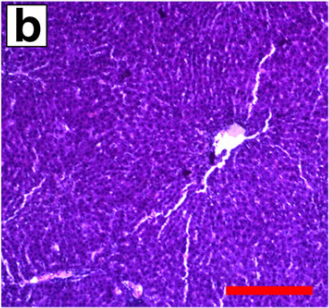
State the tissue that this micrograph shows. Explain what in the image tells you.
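Thin white clefts between the cords run toward the central vessel.
Conclusion: liver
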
